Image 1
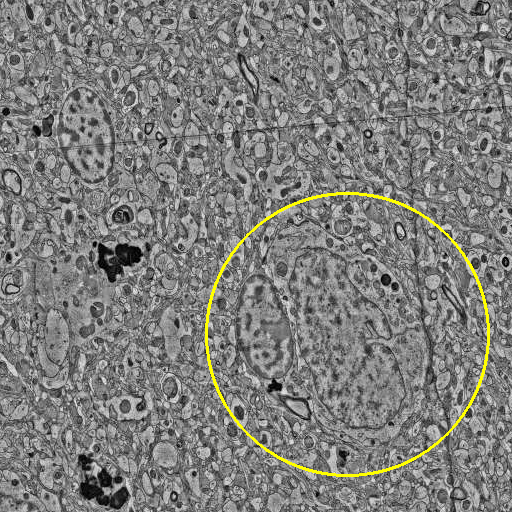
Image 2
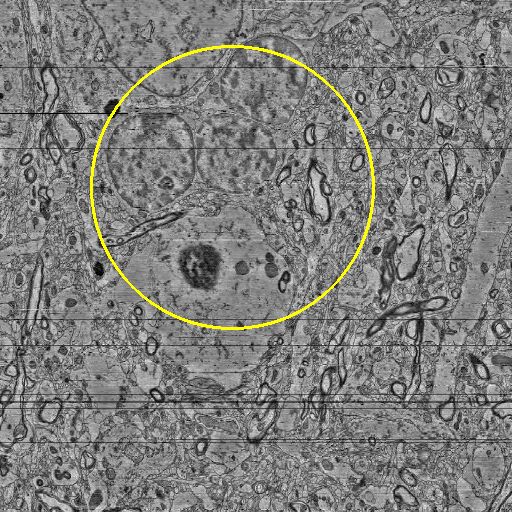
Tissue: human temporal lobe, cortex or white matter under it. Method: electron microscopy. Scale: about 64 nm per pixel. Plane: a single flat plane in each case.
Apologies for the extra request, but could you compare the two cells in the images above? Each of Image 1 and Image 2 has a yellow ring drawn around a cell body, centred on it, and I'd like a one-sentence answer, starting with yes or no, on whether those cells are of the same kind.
No, the two cells are of two kinds.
